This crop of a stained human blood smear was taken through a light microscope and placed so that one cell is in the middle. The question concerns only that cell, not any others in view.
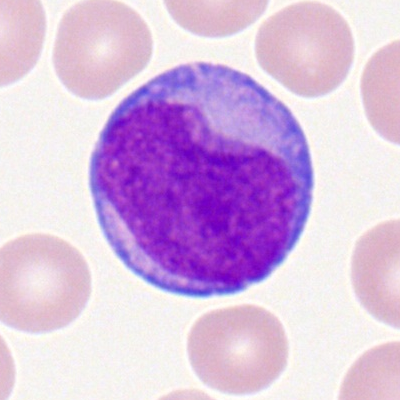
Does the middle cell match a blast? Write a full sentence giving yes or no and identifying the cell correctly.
Yes, the central cell is to be recorded as a blast.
